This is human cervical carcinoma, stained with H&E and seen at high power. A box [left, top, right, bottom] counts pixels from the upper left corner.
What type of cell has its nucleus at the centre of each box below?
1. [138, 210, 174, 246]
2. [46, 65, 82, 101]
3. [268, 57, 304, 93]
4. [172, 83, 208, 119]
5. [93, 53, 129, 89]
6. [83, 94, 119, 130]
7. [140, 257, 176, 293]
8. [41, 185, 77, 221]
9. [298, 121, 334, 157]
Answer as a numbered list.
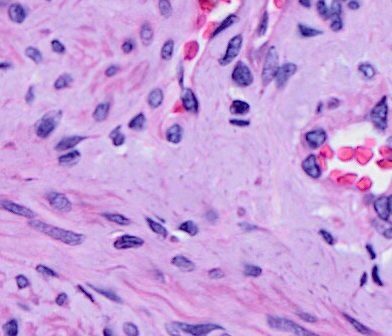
1. fibroblast
2. smooth muscle cell
3. fibroblast
4. endothelial cell
5. smooth muscle cell
6. smooth muscle cell
7. smooth muscle cell
8. smooth muscle cell
9. endothelial cell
